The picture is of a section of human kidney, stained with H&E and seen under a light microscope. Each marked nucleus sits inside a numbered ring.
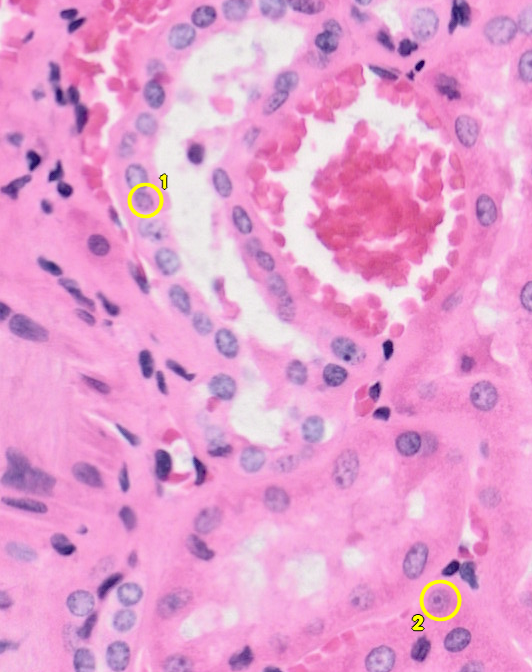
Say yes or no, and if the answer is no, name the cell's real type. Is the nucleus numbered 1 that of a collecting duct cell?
Yes.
